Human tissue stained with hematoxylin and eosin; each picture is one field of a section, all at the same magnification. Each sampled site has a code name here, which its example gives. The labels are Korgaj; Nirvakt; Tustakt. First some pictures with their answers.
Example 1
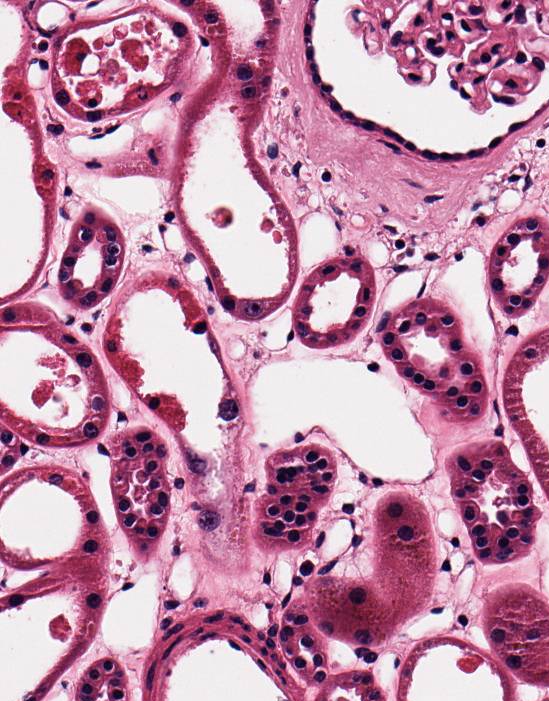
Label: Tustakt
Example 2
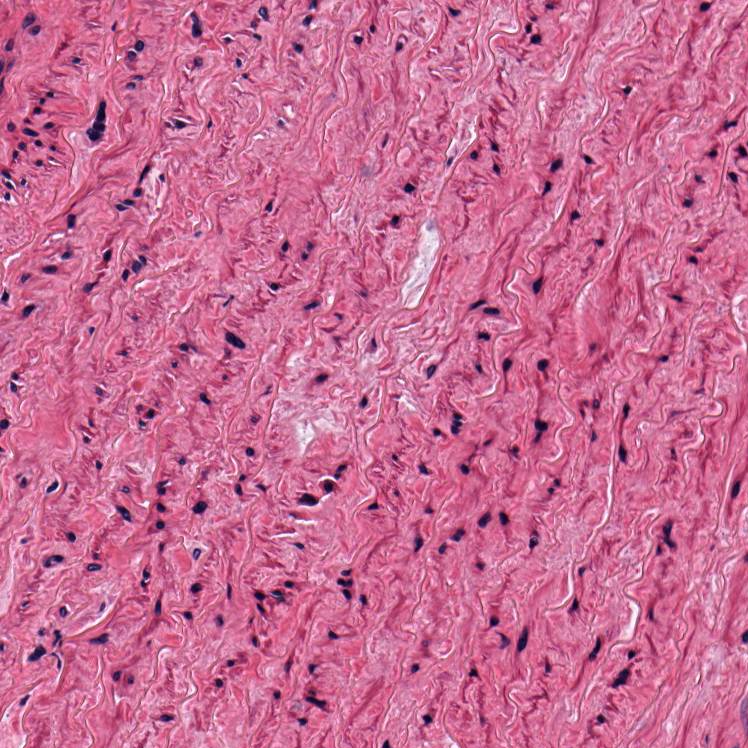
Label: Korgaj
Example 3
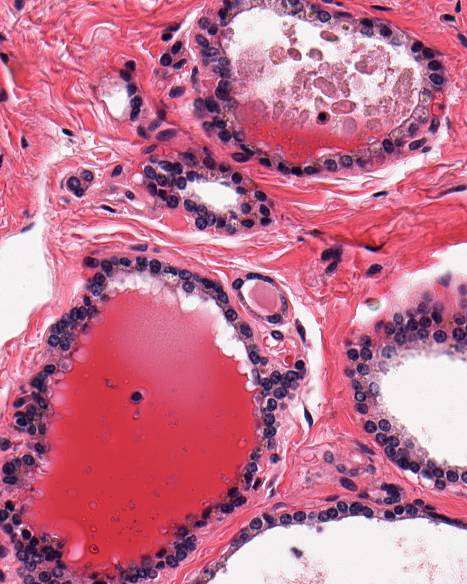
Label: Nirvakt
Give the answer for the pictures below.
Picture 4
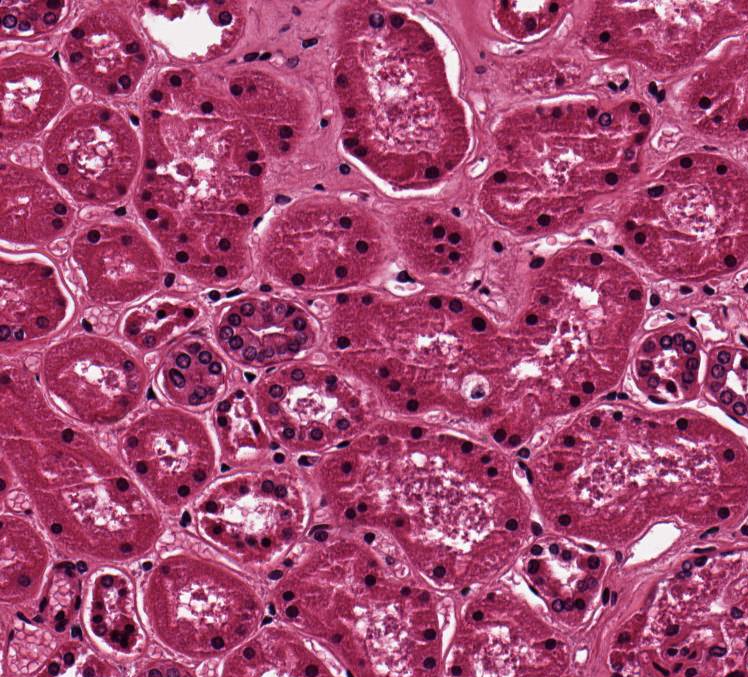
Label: Tustakt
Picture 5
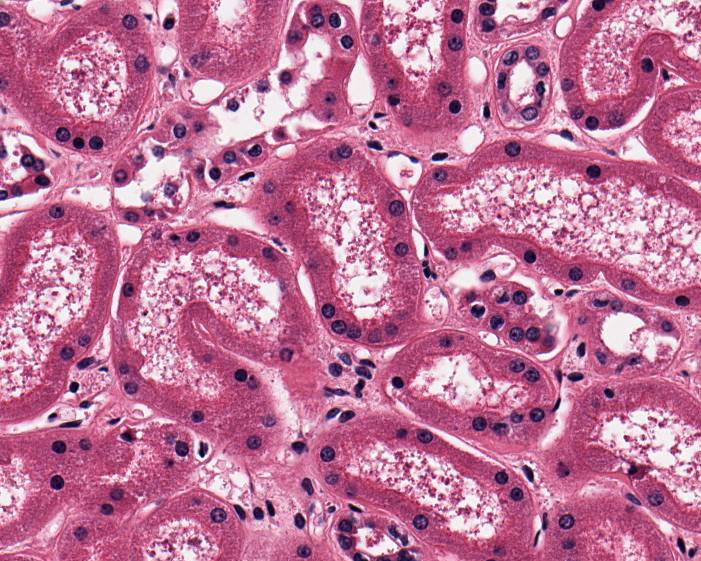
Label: Tustakt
